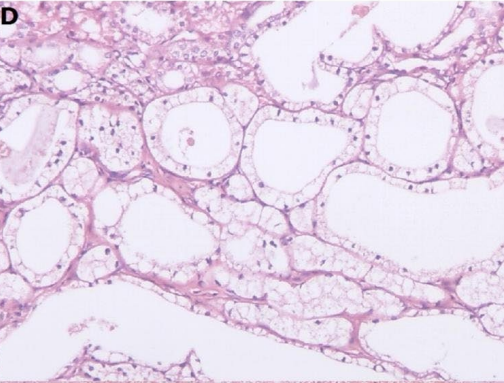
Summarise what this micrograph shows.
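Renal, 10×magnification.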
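Kidney tubules lined by epithelial cells, many of which are pale and vacuolated. The tubules are rounded and dilated, with wide empty lumens, some holding a little pink debris. Thin strands of pink connective tissue separate the tubules.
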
